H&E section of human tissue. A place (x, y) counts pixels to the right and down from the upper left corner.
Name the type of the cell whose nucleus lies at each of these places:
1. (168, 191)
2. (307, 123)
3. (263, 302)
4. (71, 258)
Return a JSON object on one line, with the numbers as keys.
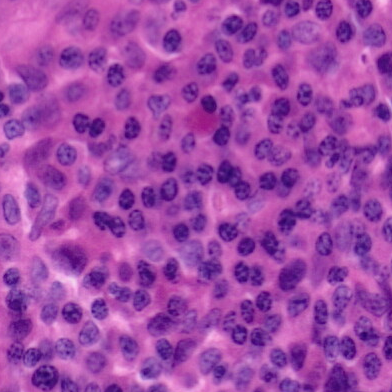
{"1": "plasma cell", "2": "plasma cell", "3": "plasma cell", "4": "squamous epithelial cell"}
